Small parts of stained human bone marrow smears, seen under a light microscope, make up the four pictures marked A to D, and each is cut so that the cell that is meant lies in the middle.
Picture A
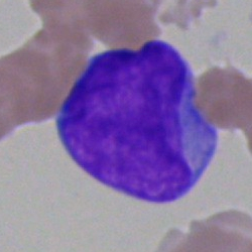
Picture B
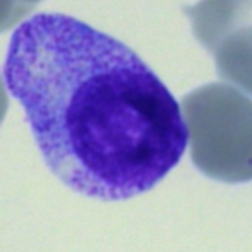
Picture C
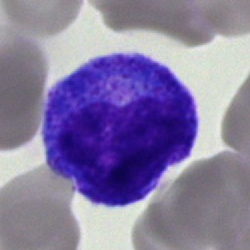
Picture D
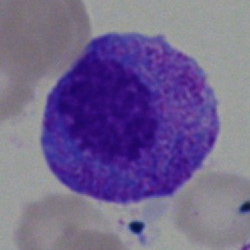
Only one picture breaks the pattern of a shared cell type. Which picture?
A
